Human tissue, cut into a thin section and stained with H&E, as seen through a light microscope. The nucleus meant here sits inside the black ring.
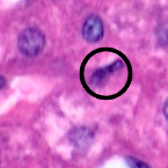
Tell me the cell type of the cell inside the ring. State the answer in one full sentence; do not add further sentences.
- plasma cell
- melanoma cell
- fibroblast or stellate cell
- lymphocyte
The identity of the cell inside the ring: it is a fibroblast or stellate cell.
